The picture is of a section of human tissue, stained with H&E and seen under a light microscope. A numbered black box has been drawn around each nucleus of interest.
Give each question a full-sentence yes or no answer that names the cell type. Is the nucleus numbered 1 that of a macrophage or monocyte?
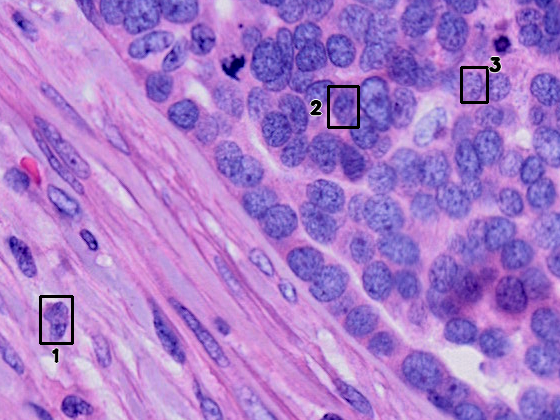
Yes, the cell tagged with the number 1 is a macrophage or monocyte.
